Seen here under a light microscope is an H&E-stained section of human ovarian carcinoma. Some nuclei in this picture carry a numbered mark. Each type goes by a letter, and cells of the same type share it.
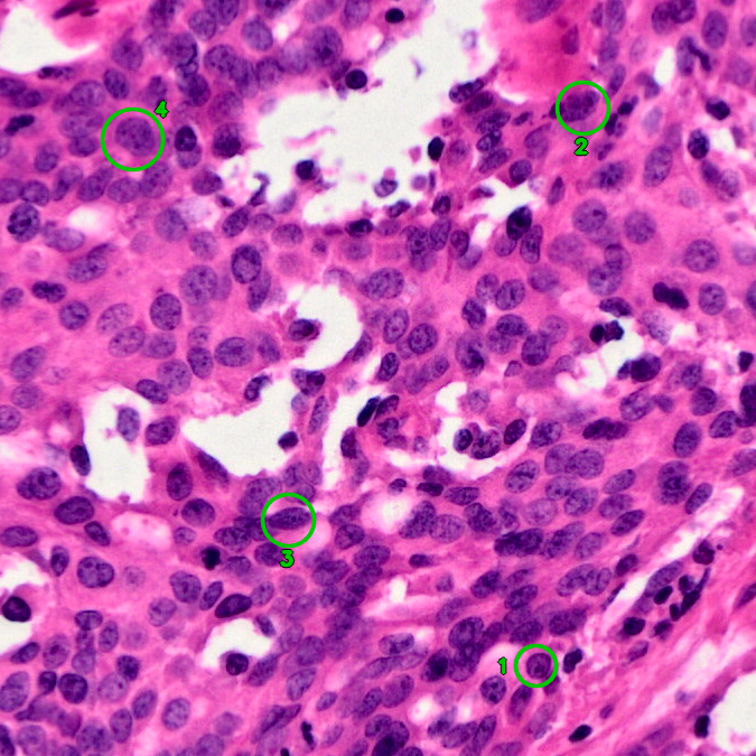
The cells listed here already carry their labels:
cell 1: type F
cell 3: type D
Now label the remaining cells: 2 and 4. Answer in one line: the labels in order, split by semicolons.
type D; type D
